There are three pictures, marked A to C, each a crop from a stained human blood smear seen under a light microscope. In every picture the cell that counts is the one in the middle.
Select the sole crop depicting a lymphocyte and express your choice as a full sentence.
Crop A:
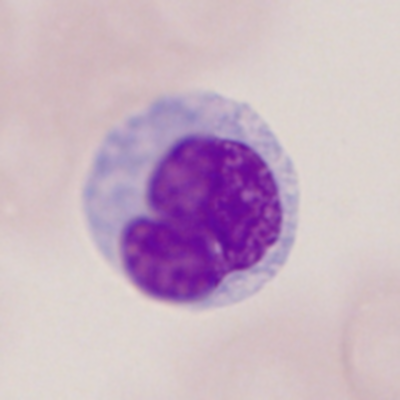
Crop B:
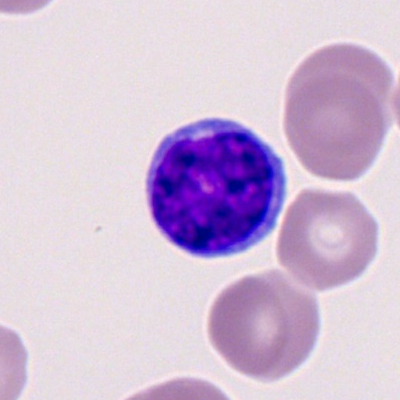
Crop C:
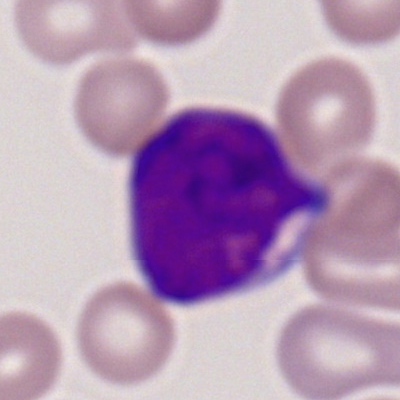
On review of the set, crop B is the one showing a lymphocyte.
